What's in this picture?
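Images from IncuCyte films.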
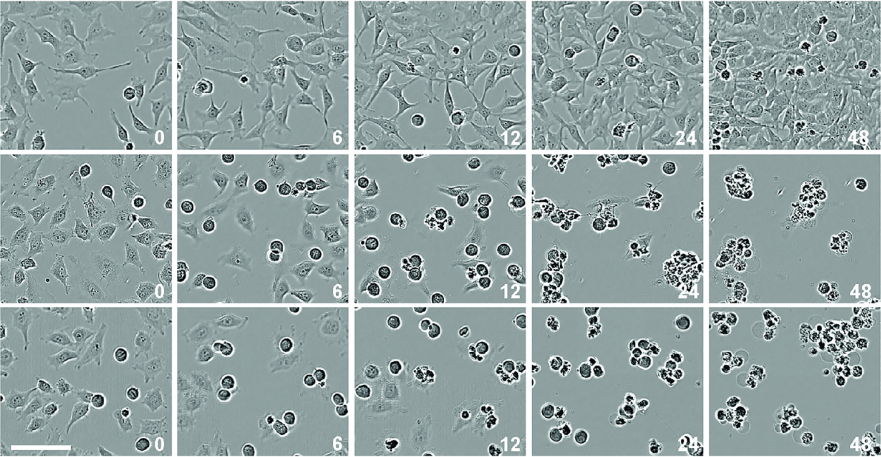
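This is a grid of phase-contrast time-lapse frames of cultured cells in three rows. In the top row, the cells are flat and spread, with elongated or polygonal outlines and thin processes, and they grow steadily denser until the last frame is nearly crowded. In the two lower rows, the flat cells are soon replaced by many small, rounded cells with bright, refractile rims. Later frames of these rows show rounded cells gathered in clumps with a granular, broken-up, blebbing appearance, and few flat cells remain.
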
